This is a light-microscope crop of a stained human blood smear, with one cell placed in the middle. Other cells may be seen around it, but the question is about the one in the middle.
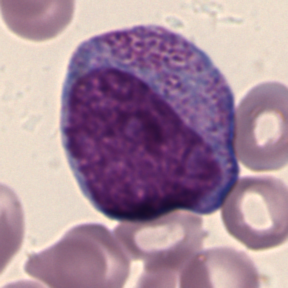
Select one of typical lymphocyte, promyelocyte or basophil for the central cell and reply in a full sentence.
The cell centered in this field of view is a promyelocyte.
